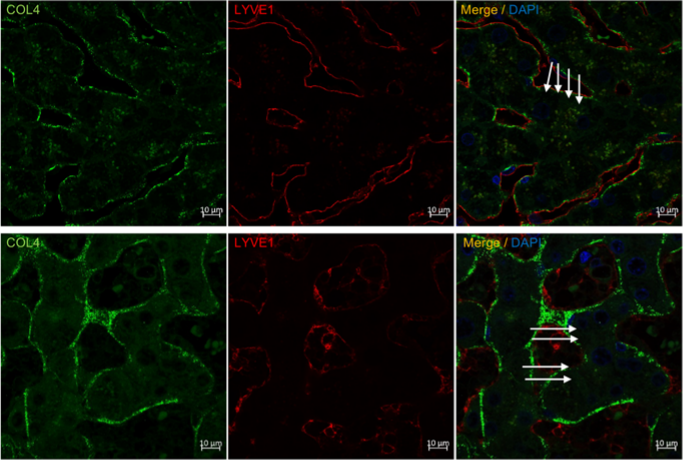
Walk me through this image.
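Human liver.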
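In the upper row thin green and red lines run closely side by side along the channel walls. Faint green dots are also scattered through the tissue between the channels. In the lower row the green lines are brighter and thicker, and they outline large polygonal areas of tissue. One dense patch of green lies where several of these lines meet, while the red outlines are fainter and more broken.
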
